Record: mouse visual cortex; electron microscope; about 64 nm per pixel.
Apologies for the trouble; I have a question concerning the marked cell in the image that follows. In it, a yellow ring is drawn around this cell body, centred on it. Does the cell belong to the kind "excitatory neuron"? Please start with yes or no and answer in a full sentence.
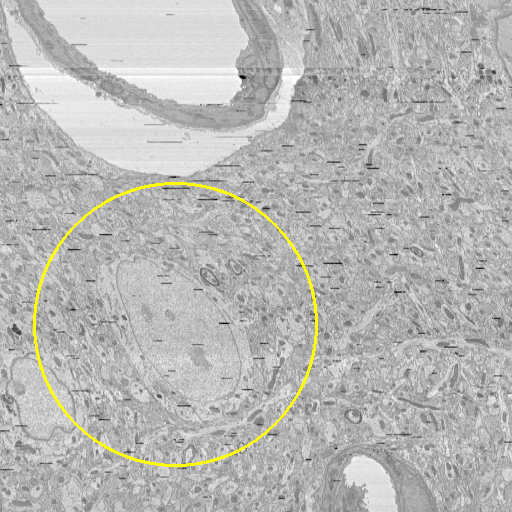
Yes, the cell at the centre of the ring in the picture is of that kind.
